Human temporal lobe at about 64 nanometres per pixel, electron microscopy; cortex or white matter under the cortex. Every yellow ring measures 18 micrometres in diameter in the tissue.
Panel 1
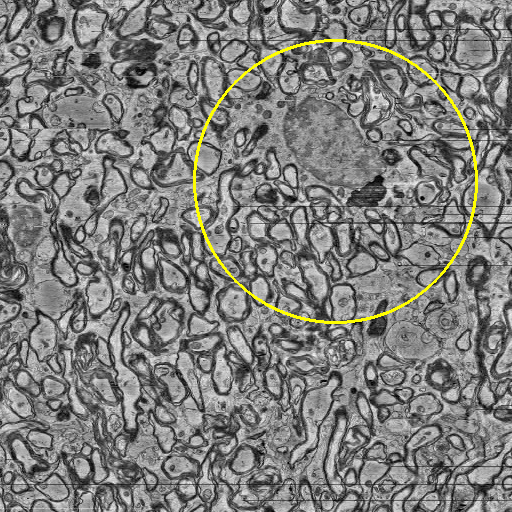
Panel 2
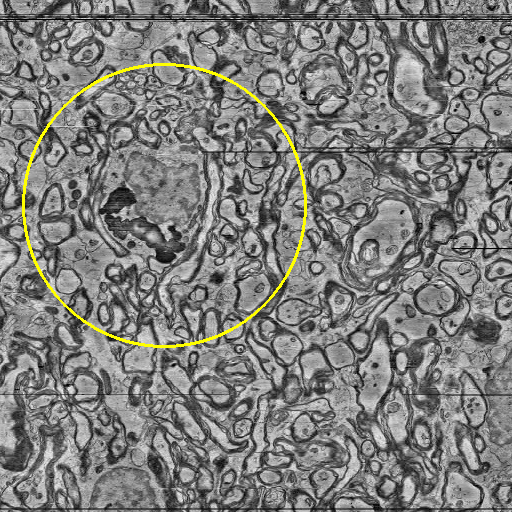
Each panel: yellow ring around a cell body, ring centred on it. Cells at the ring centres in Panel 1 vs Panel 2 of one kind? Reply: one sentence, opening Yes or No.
Yes, Panel 1 and Panel 2 have cells of one kind at the ring centres.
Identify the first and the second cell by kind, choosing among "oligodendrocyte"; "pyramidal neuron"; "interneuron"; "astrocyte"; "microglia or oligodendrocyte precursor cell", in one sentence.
Each of the two pictures has an oligodendrocyte at the ring centre.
